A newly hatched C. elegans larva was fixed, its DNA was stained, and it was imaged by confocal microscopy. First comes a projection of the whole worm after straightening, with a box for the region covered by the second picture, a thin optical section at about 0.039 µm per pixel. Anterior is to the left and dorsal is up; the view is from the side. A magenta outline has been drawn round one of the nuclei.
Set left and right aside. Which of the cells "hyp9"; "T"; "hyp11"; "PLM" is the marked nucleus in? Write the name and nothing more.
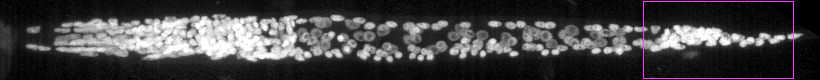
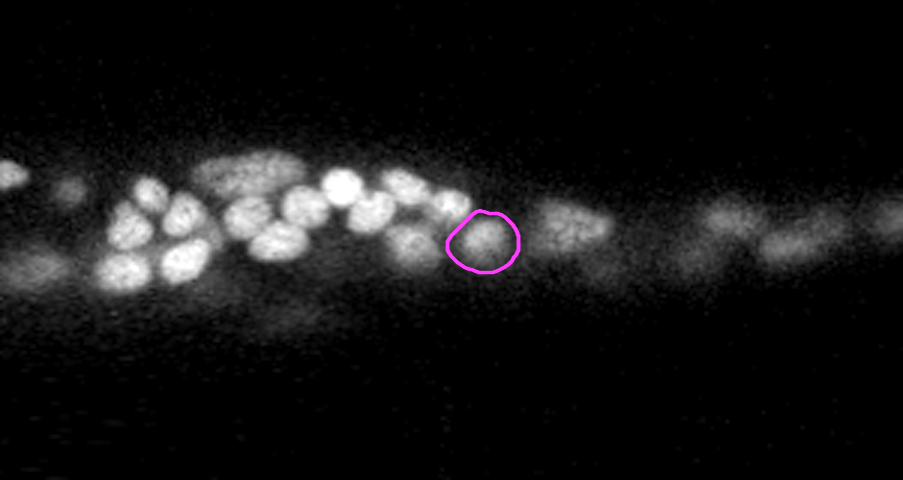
PLM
